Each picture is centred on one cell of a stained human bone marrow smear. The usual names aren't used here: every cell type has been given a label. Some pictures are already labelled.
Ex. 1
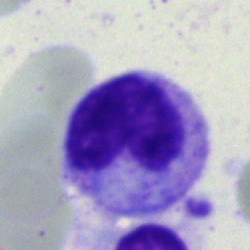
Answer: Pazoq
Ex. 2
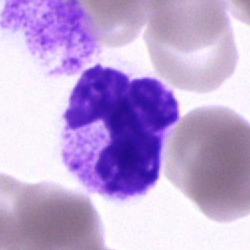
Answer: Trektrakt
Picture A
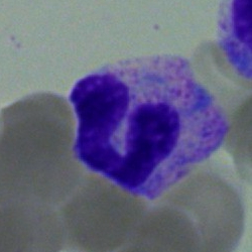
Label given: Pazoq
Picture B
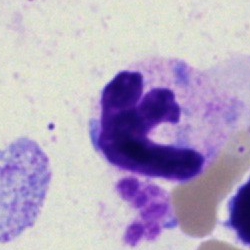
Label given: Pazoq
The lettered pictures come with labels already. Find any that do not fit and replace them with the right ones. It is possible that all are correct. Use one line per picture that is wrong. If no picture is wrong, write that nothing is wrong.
A should be Trektrakt, not Pazoq
B should be Trektrakt, not Pazoq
